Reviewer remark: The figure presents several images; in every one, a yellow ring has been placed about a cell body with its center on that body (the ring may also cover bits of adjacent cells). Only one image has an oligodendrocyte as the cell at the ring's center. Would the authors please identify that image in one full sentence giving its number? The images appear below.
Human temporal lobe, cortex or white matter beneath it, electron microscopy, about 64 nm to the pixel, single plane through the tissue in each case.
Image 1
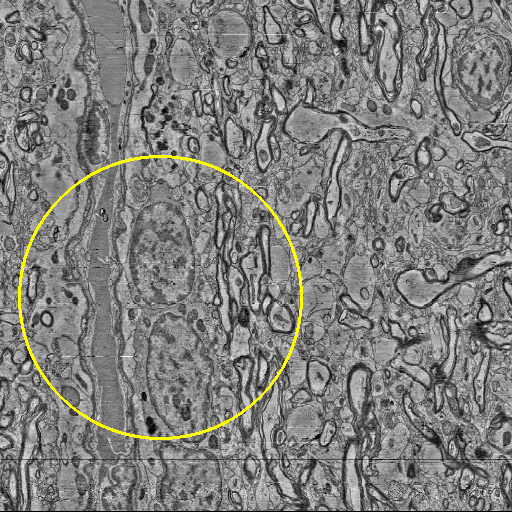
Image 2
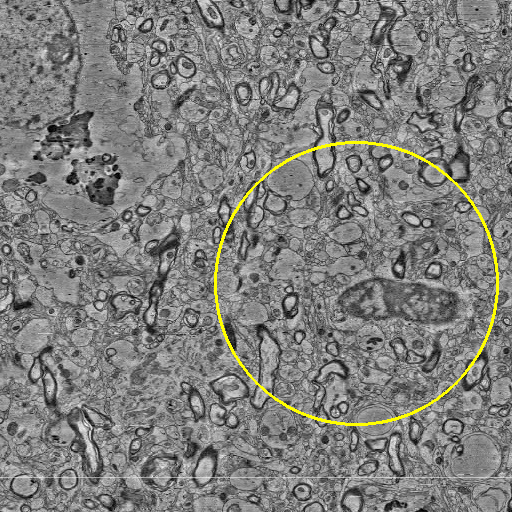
The ring's central cell in image 1 is the one the question describes.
